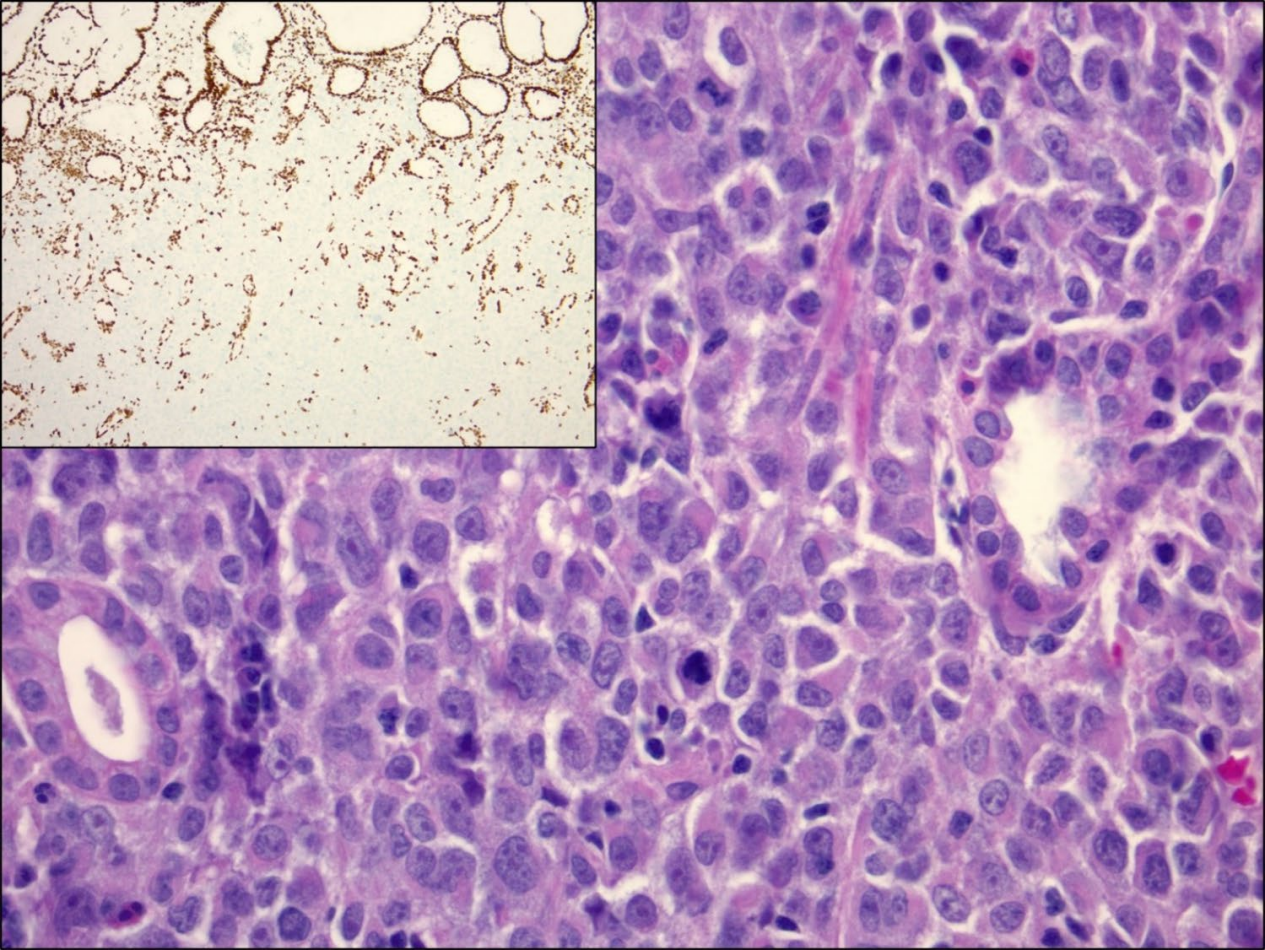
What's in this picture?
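Sheets of discohesive tumor cells with moderate amounts of pink, eosinophilic cytoplasm fill the field. Several dark, clumped mitotic figures are scattered among the tumor cells. Two small glands lined by cuboidal cells with open lumens are embedded within the tumor. In the inset at lower magnification, brown nuclear stain marks the epithelium lining round glands at the top and scattered small cells, while the surrounding tumor cells lack nuclear staining.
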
